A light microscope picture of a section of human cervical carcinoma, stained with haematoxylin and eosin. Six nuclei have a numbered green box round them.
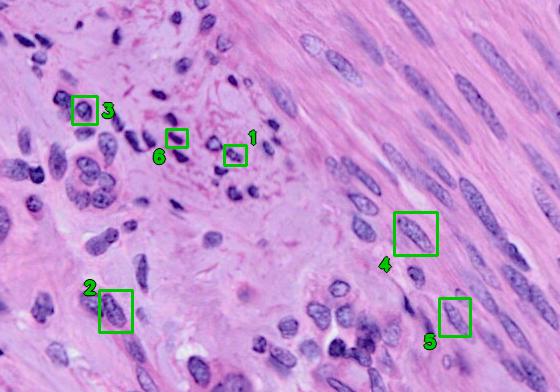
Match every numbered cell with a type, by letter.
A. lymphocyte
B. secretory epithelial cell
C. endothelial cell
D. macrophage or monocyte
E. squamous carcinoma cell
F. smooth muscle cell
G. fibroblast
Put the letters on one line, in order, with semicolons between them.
F; C; C; F; F; F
